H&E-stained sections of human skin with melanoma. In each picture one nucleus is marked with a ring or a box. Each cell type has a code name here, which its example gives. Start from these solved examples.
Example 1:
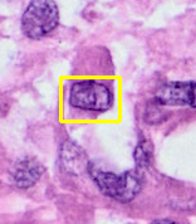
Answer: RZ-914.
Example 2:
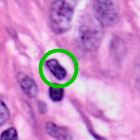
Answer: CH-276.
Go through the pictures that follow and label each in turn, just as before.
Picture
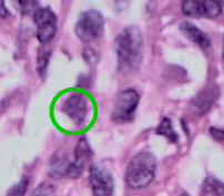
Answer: RZ-914.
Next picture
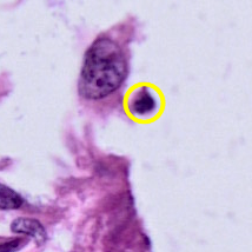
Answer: CH-276.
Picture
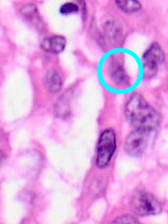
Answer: RZ-914.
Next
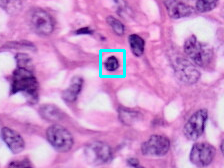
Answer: CH-276.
